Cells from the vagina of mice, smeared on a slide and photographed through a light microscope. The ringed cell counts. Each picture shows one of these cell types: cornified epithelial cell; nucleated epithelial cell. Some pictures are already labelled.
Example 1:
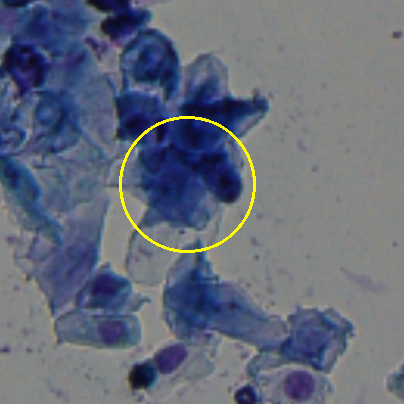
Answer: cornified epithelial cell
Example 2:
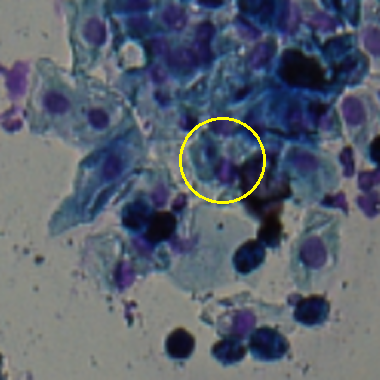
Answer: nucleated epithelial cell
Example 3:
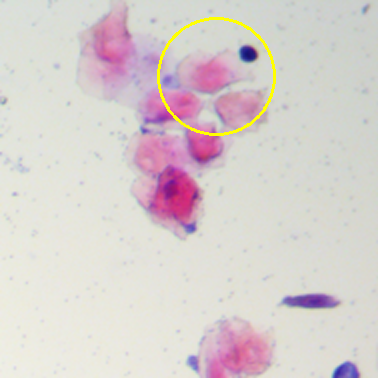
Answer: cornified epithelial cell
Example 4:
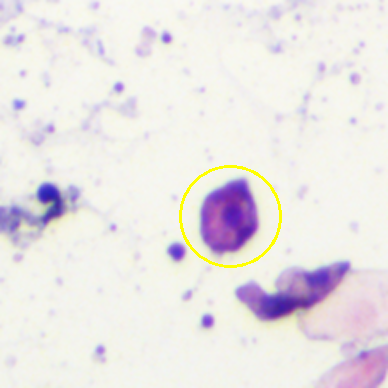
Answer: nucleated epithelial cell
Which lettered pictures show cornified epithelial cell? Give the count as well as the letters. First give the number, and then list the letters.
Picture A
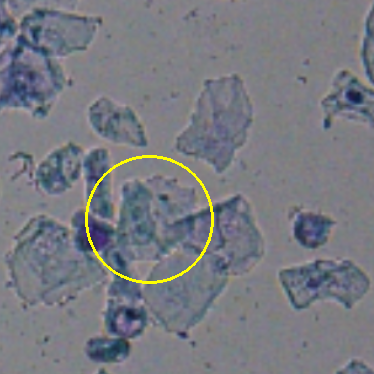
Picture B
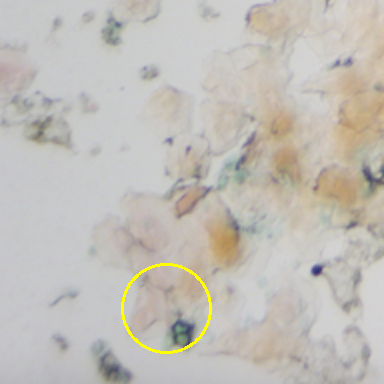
2, namely A, B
